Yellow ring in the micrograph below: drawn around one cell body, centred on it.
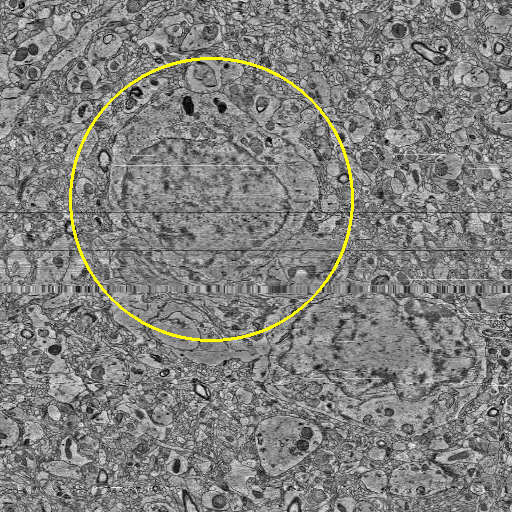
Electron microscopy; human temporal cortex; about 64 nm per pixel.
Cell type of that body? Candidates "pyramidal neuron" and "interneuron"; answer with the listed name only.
interneuron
